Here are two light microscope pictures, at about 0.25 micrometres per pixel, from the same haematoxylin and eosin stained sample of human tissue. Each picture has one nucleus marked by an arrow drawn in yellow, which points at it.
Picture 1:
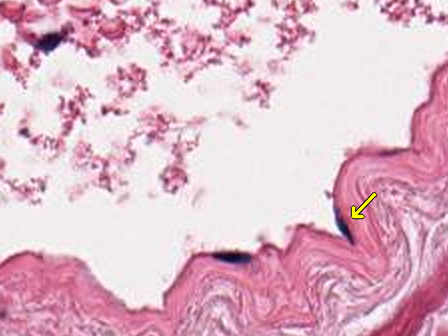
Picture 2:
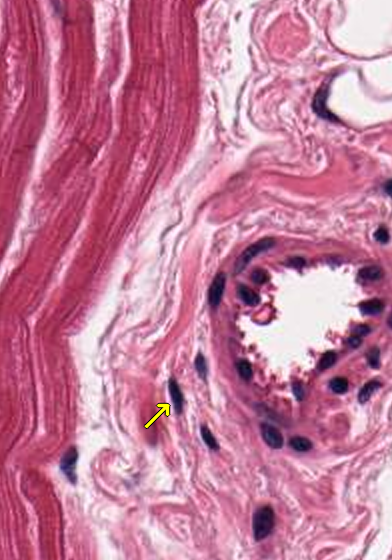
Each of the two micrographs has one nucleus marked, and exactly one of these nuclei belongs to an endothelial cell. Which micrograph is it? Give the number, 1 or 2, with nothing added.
1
